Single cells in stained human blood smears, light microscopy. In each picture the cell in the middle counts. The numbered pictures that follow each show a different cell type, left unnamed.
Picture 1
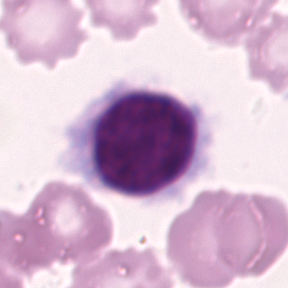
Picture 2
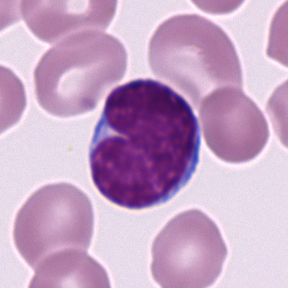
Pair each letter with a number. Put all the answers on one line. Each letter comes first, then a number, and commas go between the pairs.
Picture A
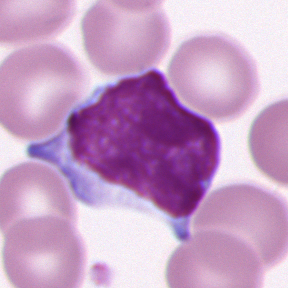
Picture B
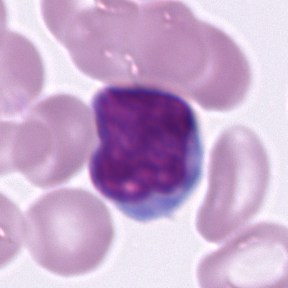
A 2, B 2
